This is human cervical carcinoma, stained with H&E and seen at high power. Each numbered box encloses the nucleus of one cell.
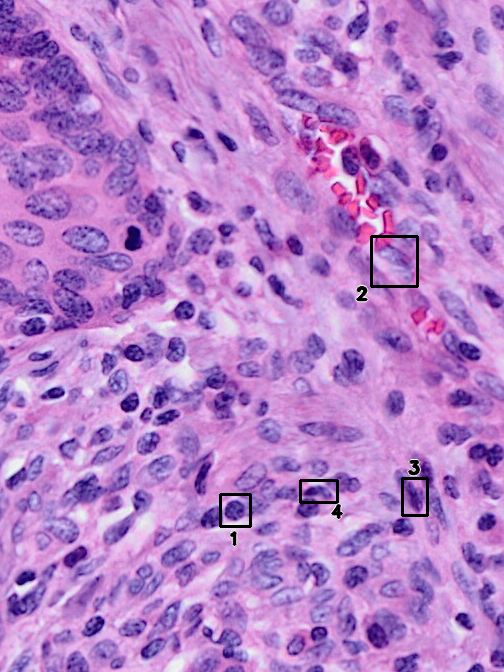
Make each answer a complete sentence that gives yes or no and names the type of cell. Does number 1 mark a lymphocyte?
Yes, the cell that the number 1 labels is a lymphocyte.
